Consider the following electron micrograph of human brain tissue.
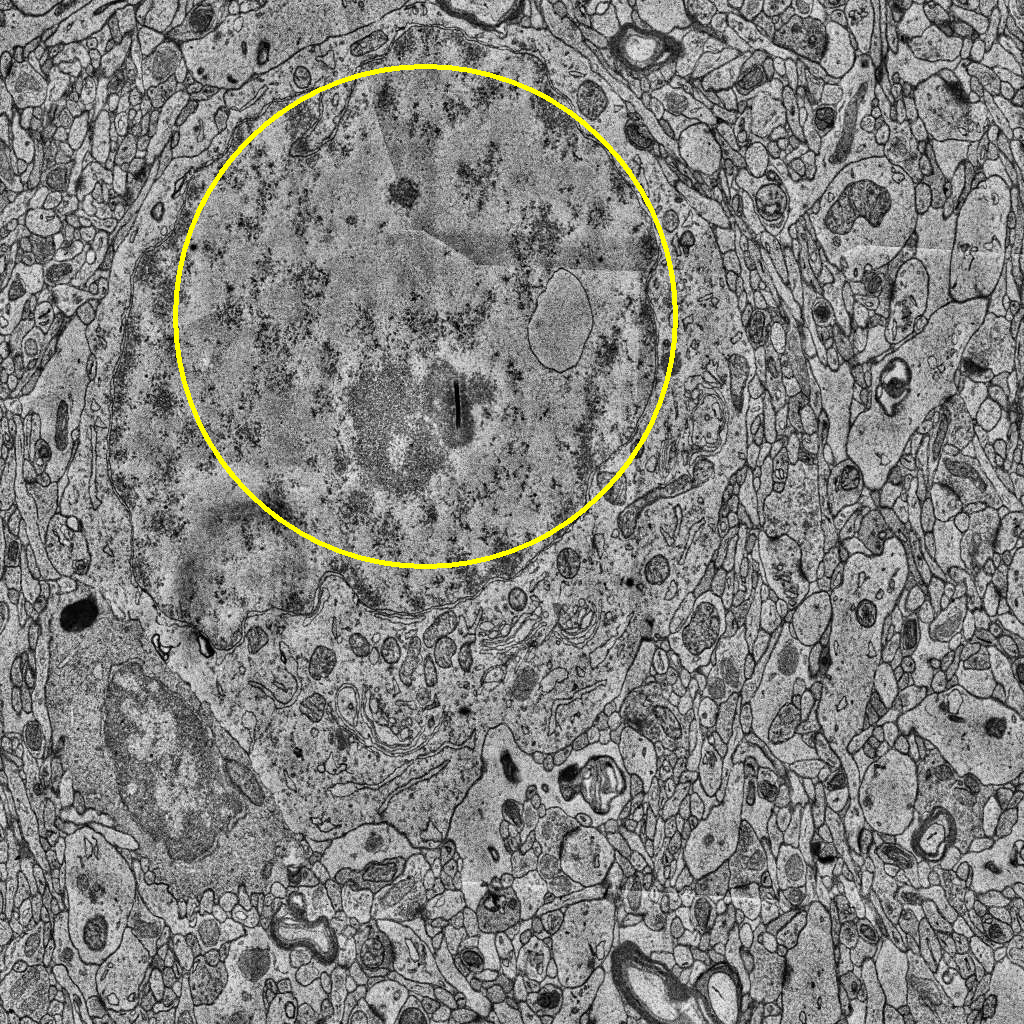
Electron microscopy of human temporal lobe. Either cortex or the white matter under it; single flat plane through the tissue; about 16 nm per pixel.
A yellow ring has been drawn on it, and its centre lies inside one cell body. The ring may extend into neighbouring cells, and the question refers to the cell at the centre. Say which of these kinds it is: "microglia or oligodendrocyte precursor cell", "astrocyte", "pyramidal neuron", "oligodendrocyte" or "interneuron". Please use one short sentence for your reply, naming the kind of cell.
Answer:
The centre of the ring falls on an interneuron.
